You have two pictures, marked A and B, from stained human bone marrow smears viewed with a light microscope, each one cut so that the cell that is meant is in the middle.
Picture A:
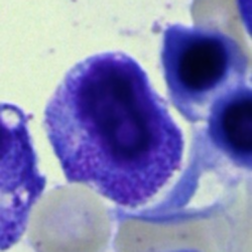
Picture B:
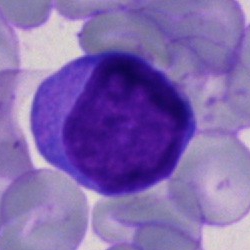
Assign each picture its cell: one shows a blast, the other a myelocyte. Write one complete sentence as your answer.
It is picture A that shows a myelocyte, and picture B that shows a blast.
